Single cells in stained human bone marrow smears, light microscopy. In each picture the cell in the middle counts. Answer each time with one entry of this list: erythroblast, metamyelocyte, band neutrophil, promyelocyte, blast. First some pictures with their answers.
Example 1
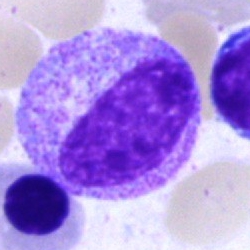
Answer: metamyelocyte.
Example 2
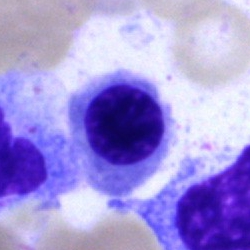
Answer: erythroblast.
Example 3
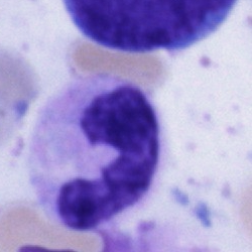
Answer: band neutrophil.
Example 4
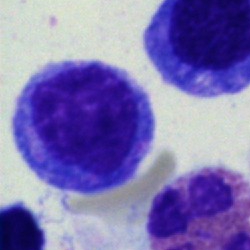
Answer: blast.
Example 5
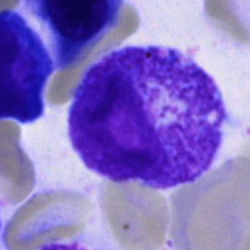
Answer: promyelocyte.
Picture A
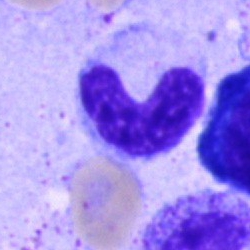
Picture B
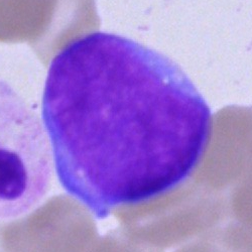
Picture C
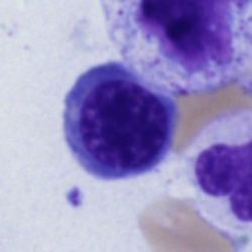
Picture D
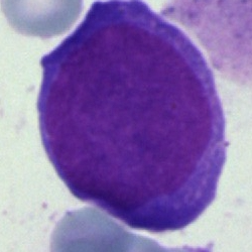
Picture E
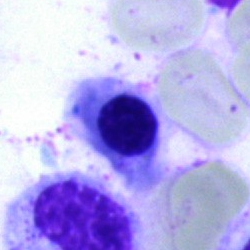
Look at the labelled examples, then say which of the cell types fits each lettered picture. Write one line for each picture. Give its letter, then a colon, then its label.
A: band neutrophil.
B: blast.
C: erythroblast.
D: blast.
E: erythroblast.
